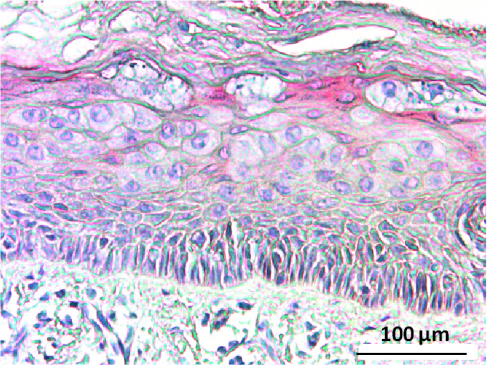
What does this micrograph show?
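A palisade of tall, narrow basal cells with dark elongated nuclei lines the border with the dermis below. Above them, the cells enlarge into rounded or polygonal forms with abundant pale, clear to greyish-blue cytoplasm and round central nuclei. The red color is weak and patchy, appearing mainly as a band in the upper layers rather than throughout the epidermis. A loose, irregular cornified layer with clefts covers the surface, and the dermis beneath contains scattered nuclei in loose connective tissue.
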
